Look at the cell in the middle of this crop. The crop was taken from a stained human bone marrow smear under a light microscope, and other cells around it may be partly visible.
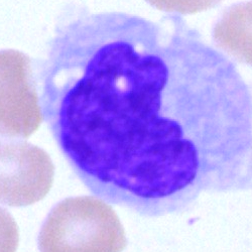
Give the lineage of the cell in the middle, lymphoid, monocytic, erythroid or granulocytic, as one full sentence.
Lineage assignment for the central cell is monocytic.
